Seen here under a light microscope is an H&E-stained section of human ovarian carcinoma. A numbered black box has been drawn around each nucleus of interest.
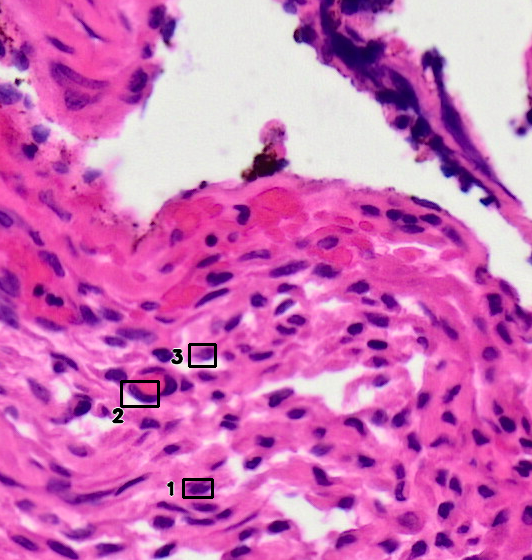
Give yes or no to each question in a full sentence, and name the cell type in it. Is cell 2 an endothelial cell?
Yes, the cell that bears the number 2 is an endothelial cell.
